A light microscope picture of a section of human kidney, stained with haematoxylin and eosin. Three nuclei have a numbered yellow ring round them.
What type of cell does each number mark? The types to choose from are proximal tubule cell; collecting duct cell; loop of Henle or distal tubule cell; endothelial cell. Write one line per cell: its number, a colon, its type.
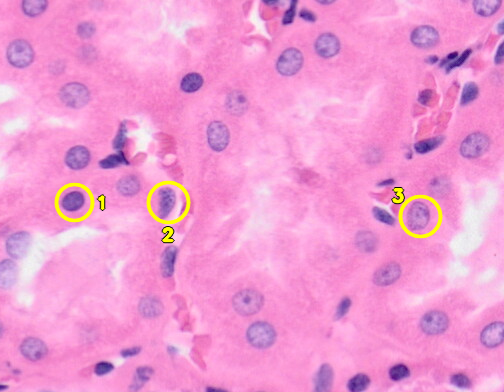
1: proximal tubule cell
2: endothelial cell
3: proximal tubule cell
